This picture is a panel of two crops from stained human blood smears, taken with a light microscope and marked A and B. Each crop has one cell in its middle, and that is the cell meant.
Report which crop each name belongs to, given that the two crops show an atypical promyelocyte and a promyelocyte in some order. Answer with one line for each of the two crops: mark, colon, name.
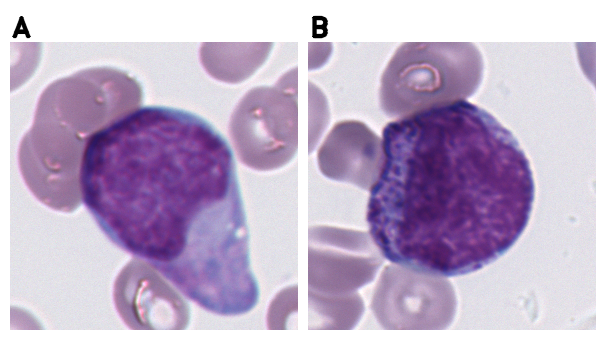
A: atypical promyelocyte
B: promyelocyte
